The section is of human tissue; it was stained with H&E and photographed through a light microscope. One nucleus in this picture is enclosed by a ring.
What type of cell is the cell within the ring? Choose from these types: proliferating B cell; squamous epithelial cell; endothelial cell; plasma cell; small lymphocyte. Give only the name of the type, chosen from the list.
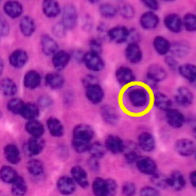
plasma cell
